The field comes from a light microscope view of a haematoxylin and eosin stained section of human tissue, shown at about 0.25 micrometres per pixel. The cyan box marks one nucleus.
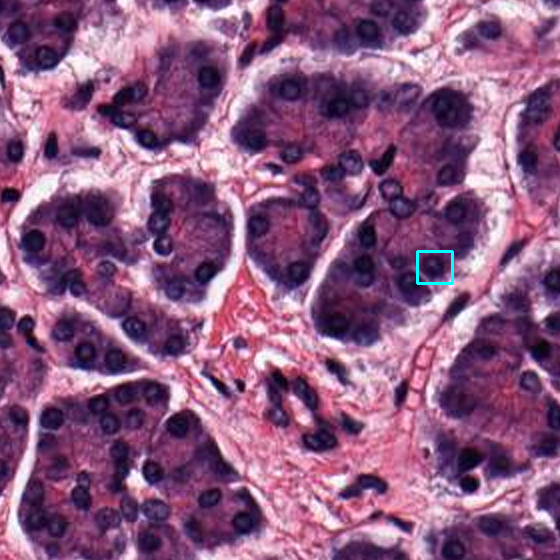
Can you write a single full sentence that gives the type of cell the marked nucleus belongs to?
In this picture, the marked nucleus belongs to a pancreatic acinar cell.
